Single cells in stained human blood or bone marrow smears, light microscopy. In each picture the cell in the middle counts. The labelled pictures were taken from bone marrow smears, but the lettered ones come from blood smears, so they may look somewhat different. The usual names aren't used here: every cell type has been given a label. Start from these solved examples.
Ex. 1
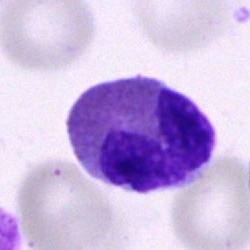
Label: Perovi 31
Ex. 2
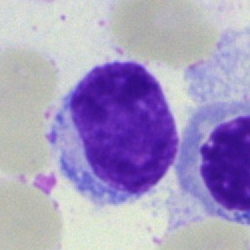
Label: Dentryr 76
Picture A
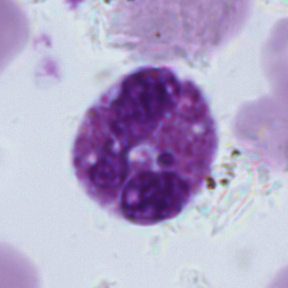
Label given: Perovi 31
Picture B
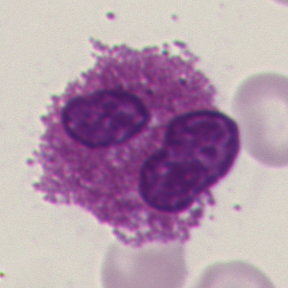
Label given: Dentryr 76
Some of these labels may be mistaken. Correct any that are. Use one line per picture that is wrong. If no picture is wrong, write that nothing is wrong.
B should be Perovi 31, not Dentryr 76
